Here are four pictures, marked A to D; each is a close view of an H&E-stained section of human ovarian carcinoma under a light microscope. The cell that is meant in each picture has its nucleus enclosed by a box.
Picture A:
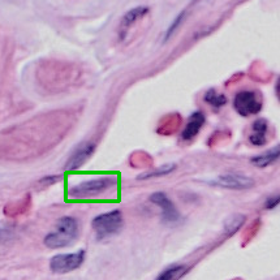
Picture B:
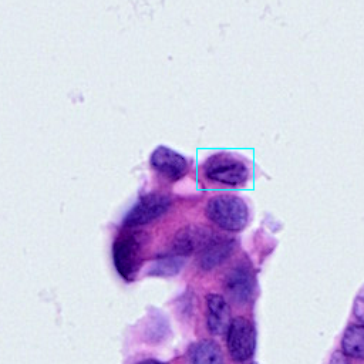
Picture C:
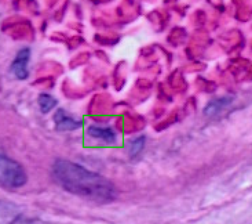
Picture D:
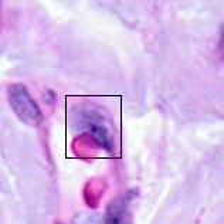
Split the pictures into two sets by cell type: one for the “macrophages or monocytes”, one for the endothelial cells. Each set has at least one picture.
A: endothelial cell
B: macrophage or monocyte
C: endothelial cell
D: endothelial cell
